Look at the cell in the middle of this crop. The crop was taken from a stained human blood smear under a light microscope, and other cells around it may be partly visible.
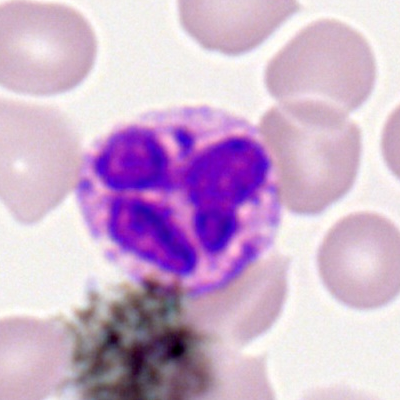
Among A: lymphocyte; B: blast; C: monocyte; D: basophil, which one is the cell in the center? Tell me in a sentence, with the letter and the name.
The cell in the middle is correctly identified as a basophil in option D.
